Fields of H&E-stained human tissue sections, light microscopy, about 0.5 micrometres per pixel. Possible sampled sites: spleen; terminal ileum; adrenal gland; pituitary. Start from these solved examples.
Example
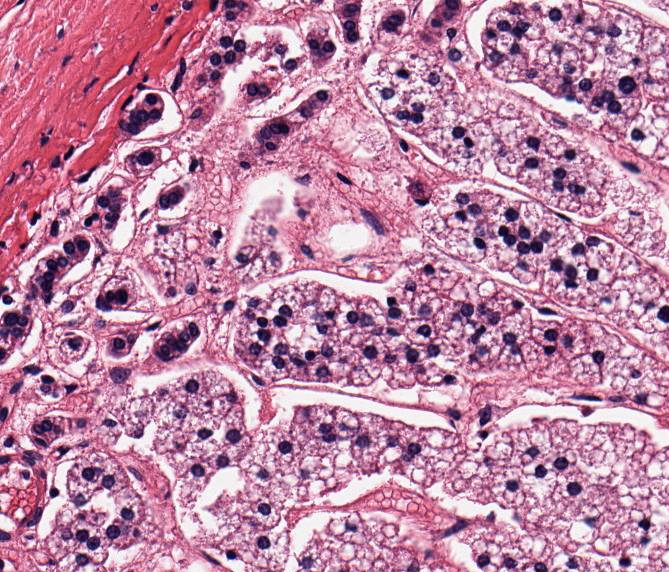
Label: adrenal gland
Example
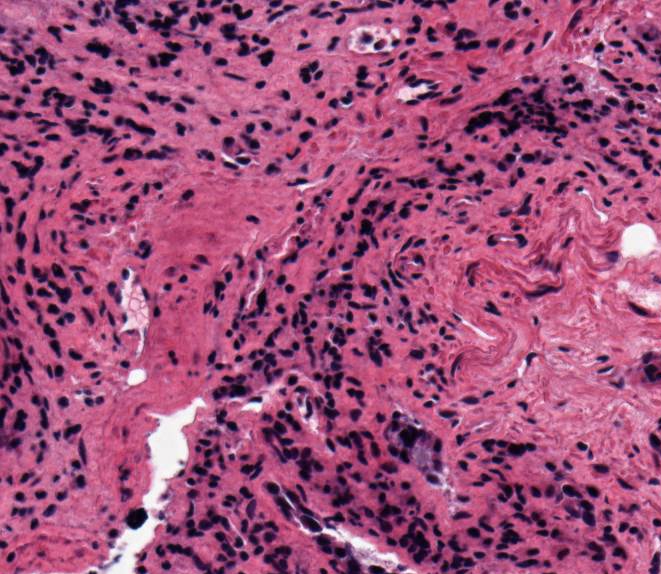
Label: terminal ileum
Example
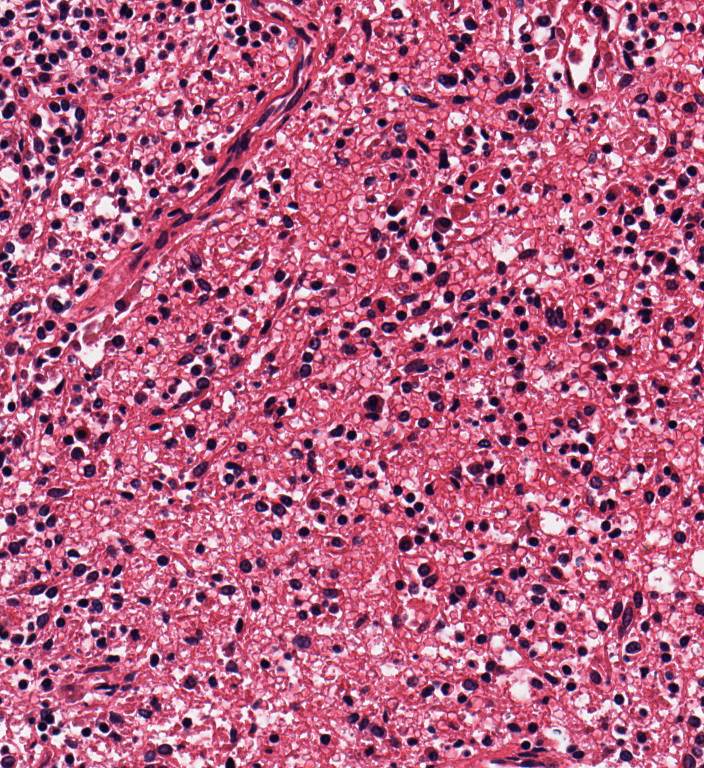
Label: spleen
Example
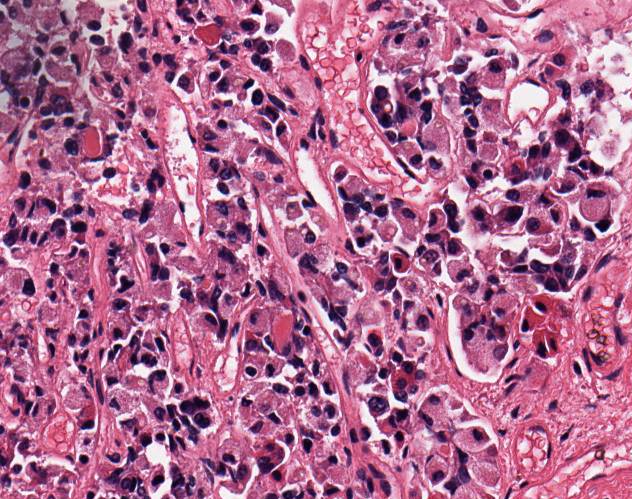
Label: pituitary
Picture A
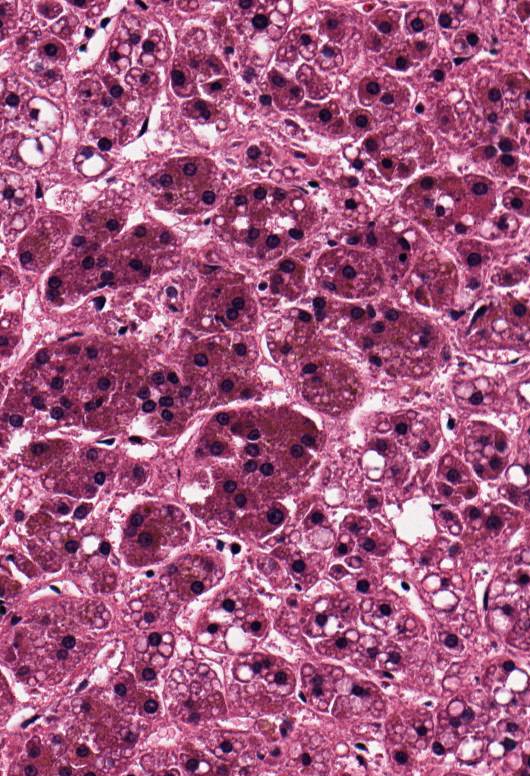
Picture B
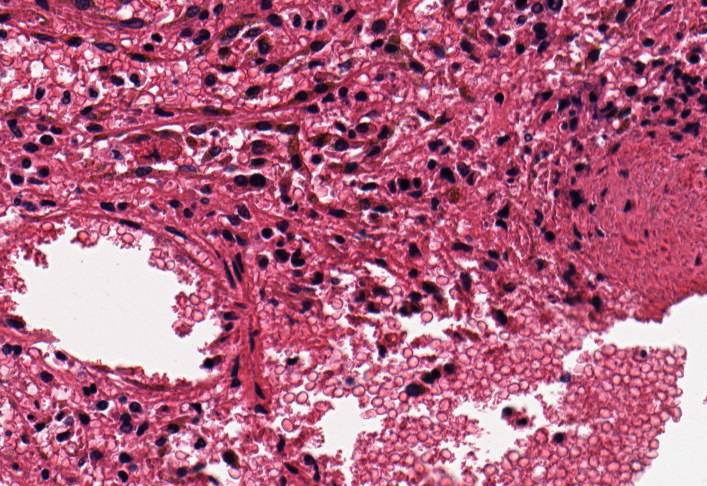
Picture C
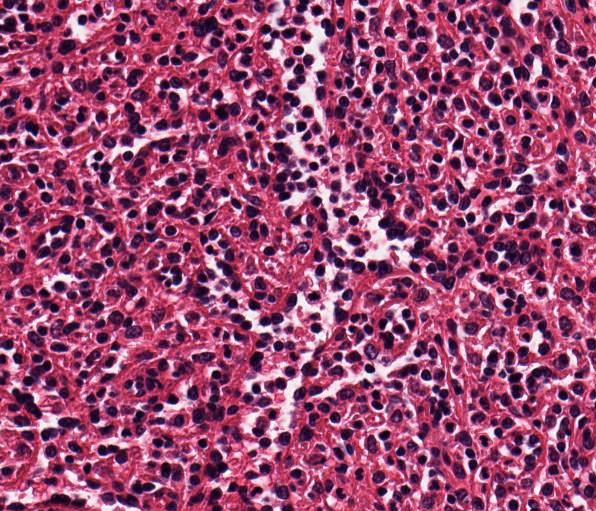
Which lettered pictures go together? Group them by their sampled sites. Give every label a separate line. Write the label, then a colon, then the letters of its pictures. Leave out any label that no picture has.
spleen: B, C
adrenal gland: A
